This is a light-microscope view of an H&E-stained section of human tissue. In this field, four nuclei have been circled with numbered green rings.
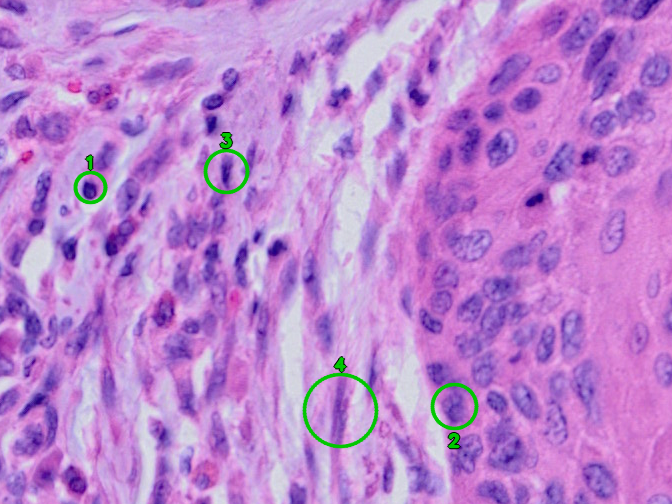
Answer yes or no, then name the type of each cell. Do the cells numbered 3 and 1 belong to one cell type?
Yes, both are lymphocytes.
